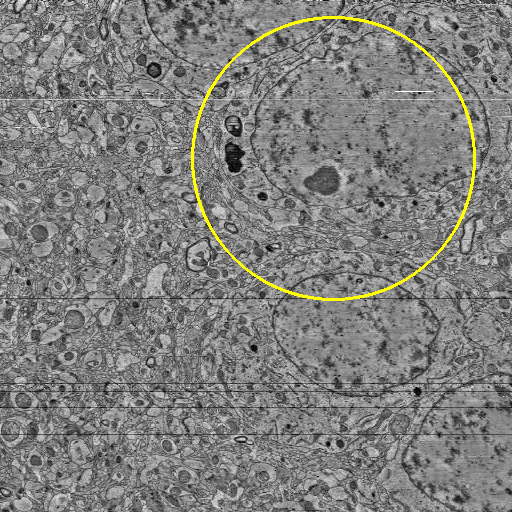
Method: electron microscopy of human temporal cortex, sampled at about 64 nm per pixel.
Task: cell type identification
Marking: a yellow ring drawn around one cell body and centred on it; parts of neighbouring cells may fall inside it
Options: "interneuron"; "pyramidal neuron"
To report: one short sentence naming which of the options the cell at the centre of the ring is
The cell at the centre of the ring is a pyramidal neuron.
